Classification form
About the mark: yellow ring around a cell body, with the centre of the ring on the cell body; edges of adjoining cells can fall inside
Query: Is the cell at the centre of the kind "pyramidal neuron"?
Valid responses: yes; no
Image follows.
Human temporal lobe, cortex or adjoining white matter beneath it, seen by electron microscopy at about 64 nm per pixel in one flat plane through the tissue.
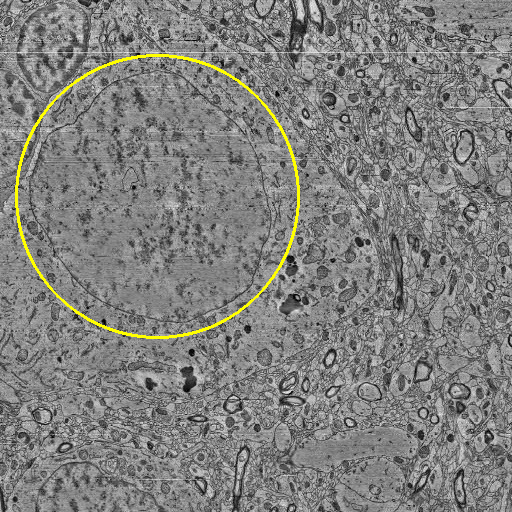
yes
